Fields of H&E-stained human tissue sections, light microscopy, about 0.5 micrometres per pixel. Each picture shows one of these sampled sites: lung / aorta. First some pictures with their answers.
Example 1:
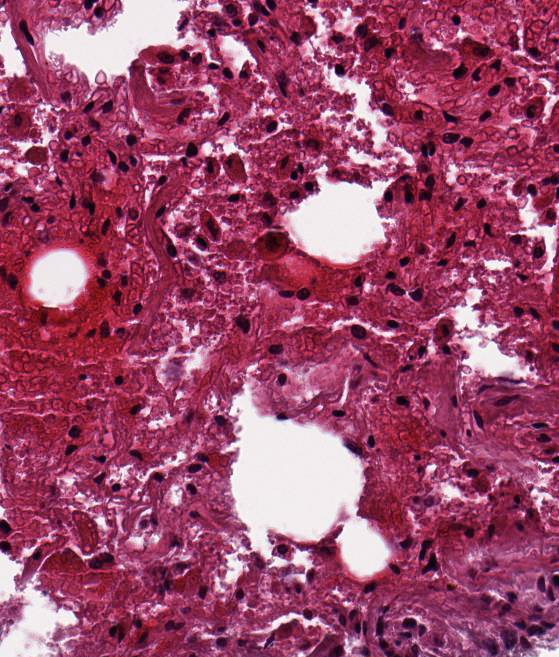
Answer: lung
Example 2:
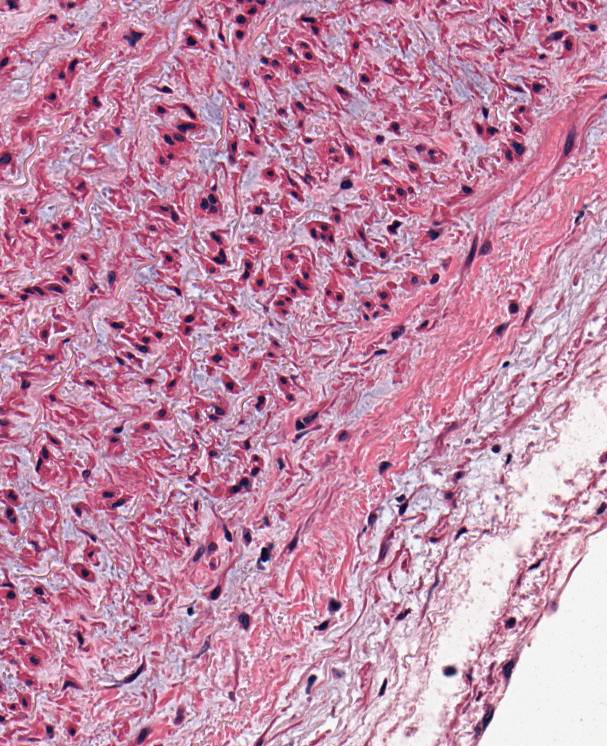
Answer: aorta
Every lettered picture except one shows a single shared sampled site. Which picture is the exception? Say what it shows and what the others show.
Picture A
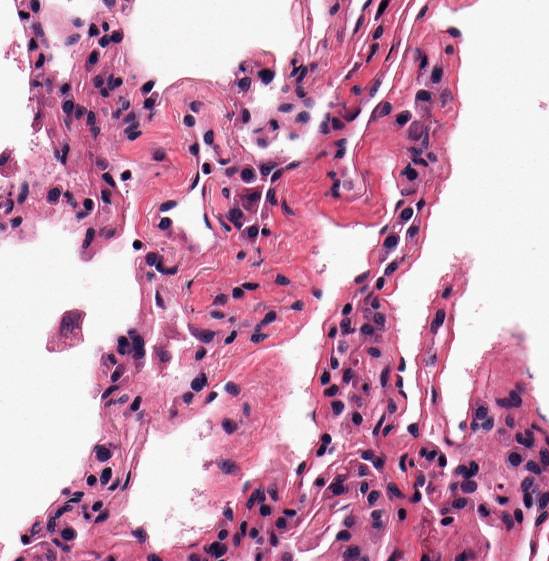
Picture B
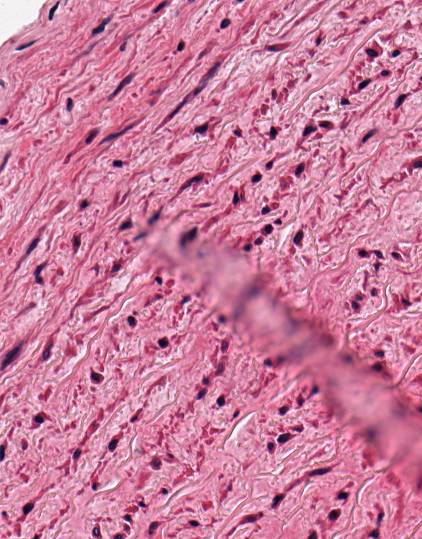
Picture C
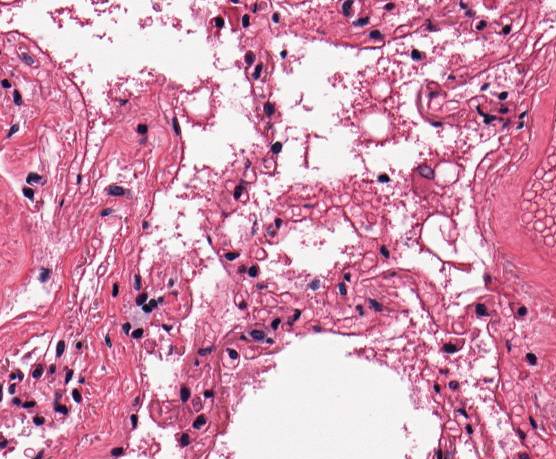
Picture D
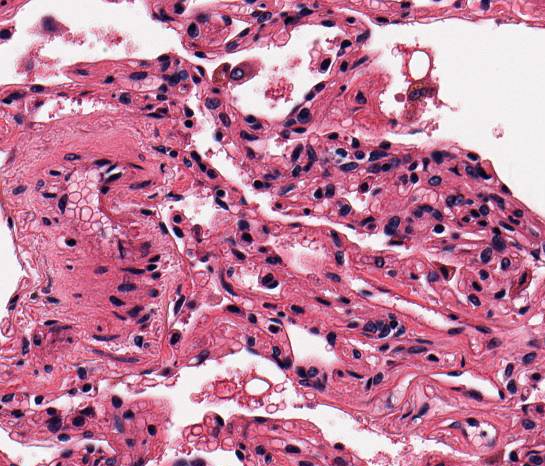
Exception: B, showing aorta. Remaining pictures: lung.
